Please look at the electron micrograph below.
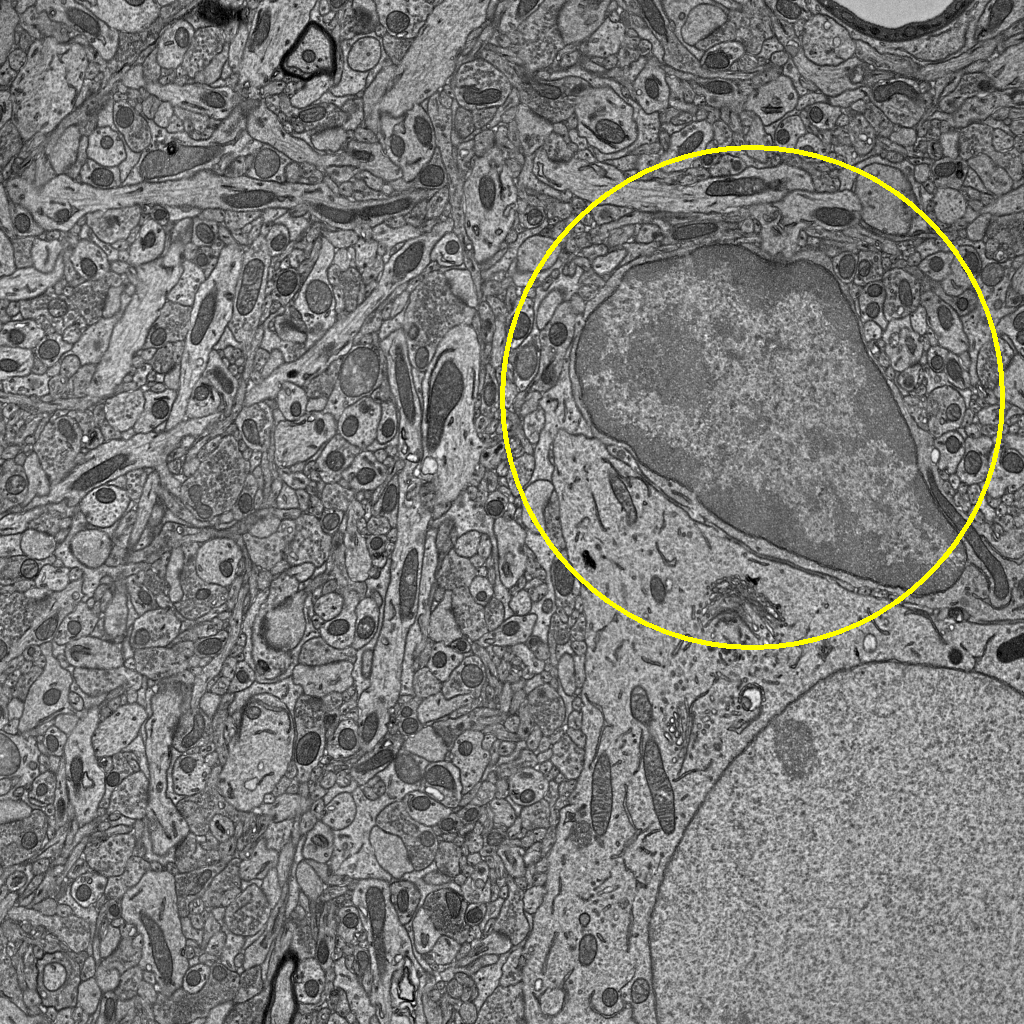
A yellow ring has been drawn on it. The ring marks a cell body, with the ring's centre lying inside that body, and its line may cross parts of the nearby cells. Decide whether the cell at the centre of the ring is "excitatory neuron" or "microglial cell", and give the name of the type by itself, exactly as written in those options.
microglial cell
